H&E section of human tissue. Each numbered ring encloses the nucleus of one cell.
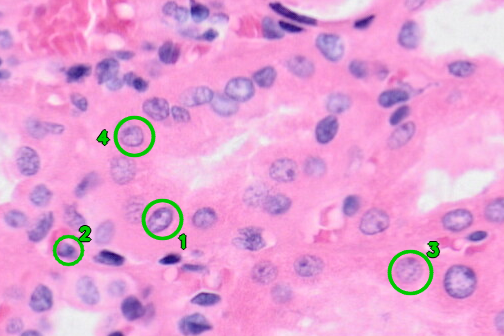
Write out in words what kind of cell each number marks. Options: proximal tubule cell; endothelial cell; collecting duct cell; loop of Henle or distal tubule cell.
Cells 1, 3 and 4 are proximal tubule cells. Cell 2 is an endothelial cell.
